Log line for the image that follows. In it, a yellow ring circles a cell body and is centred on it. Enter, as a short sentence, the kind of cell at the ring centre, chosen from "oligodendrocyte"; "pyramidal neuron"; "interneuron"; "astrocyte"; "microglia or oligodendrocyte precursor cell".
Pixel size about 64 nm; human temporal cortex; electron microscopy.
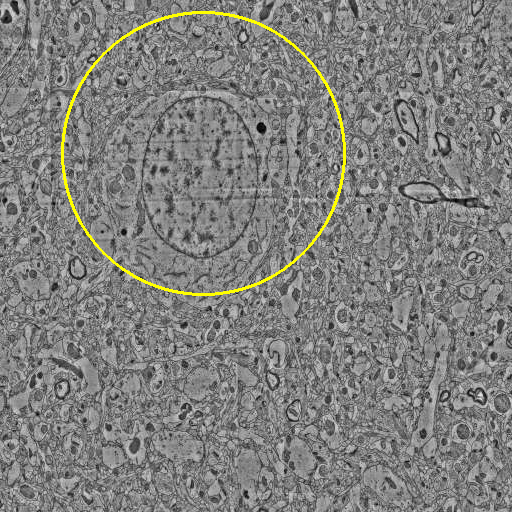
The ring centre is occupied by a pyramidal neuron.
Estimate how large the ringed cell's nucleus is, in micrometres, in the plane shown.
Roughly 10 micrometres by 7 micrometres, in this plane.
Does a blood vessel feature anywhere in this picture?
No.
